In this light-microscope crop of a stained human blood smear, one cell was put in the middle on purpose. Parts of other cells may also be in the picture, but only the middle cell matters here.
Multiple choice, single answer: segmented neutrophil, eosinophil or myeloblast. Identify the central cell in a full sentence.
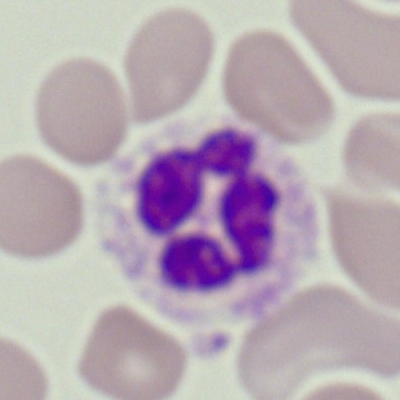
The cell at the heart of this crop is a segmented neutrophil.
